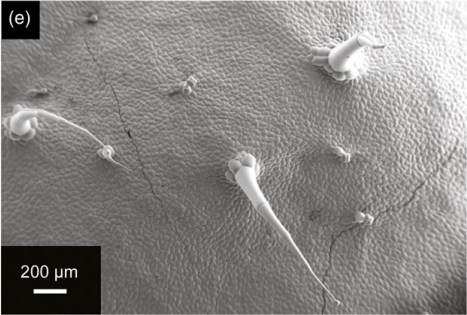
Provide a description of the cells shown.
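Scanning electron micrograph of an epidermal surface with a few scattered trichomes. Fine cracks run across the surface.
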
